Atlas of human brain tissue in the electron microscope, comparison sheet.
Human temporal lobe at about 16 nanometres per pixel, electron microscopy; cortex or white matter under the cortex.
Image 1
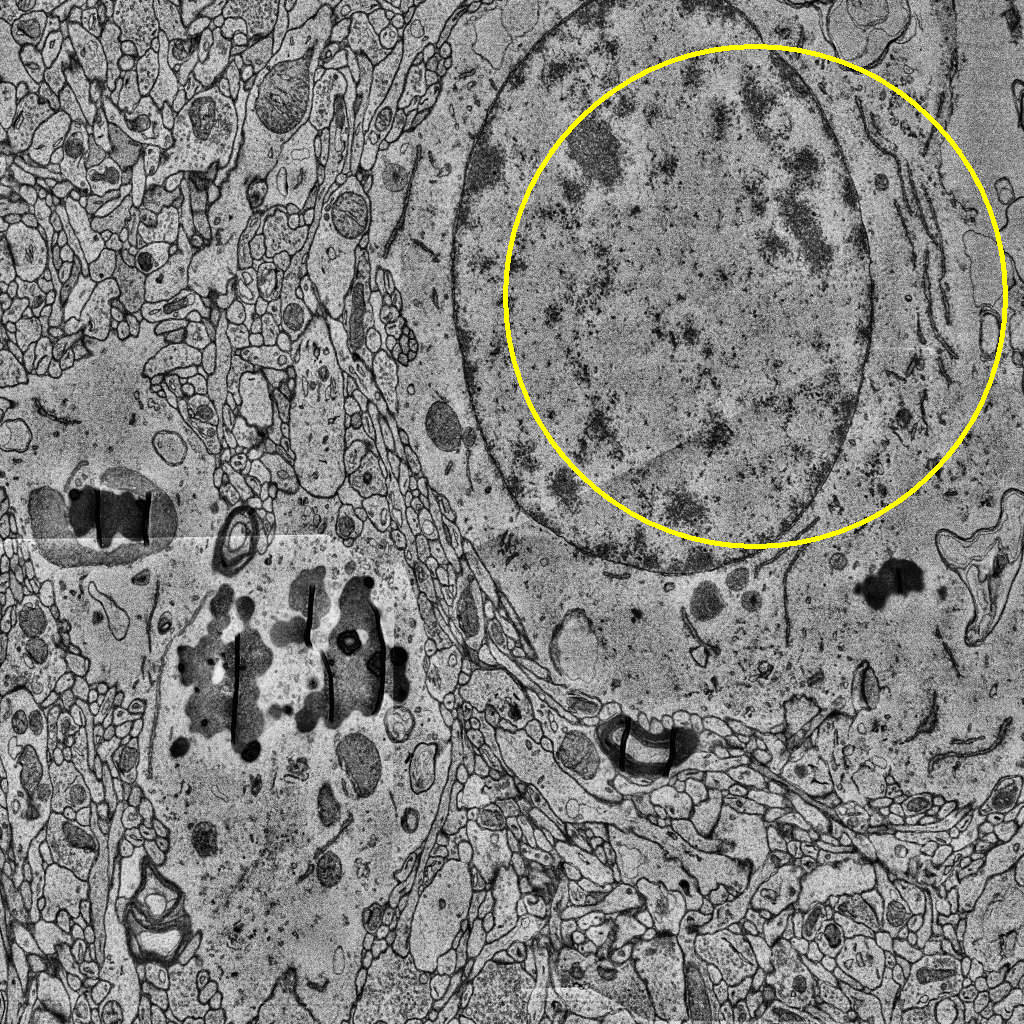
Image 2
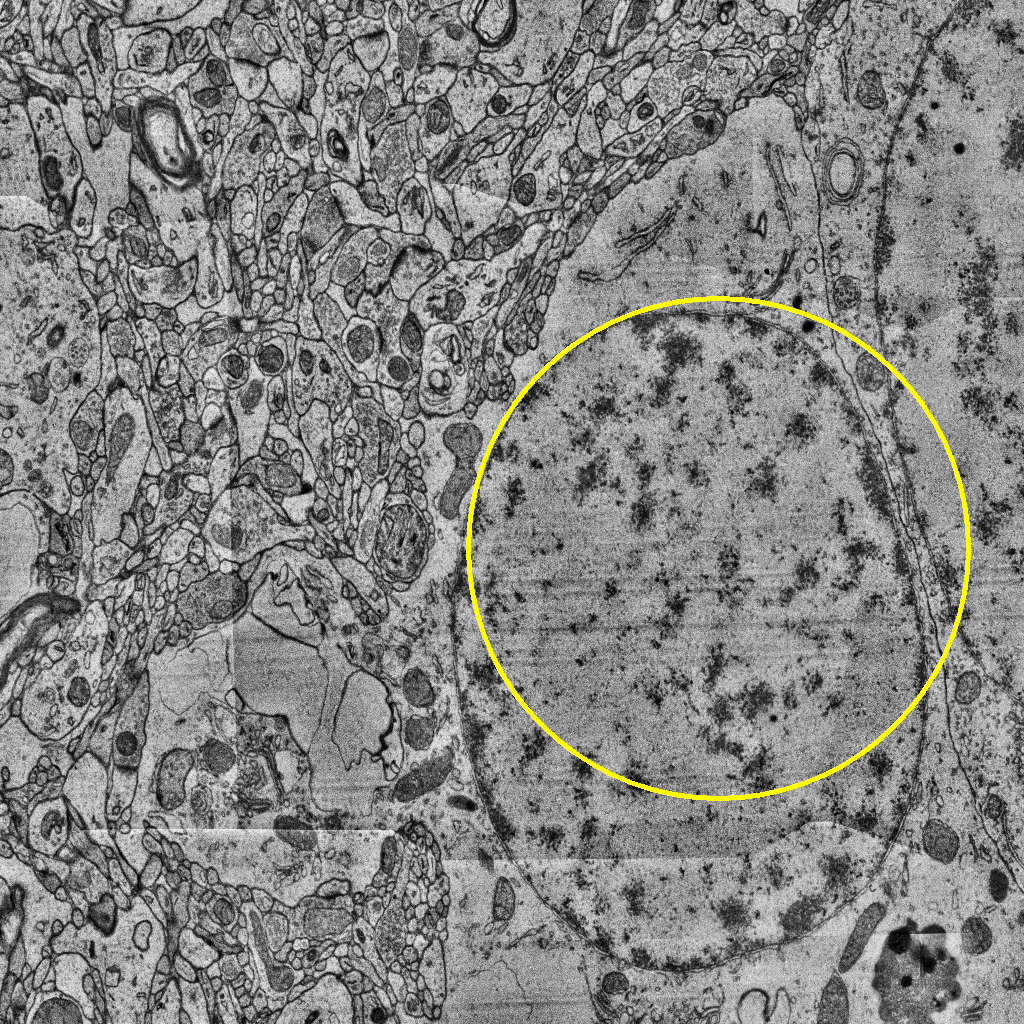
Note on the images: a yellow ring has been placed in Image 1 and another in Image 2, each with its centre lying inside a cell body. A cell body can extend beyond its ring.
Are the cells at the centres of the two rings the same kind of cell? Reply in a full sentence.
Yes, both cells are of the same kind.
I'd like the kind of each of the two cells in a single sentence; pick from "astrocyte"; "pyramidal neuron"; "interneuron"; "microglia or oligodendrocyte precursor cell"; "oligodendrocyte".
Each cell, in the first picture and the second, is an astrocyte.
